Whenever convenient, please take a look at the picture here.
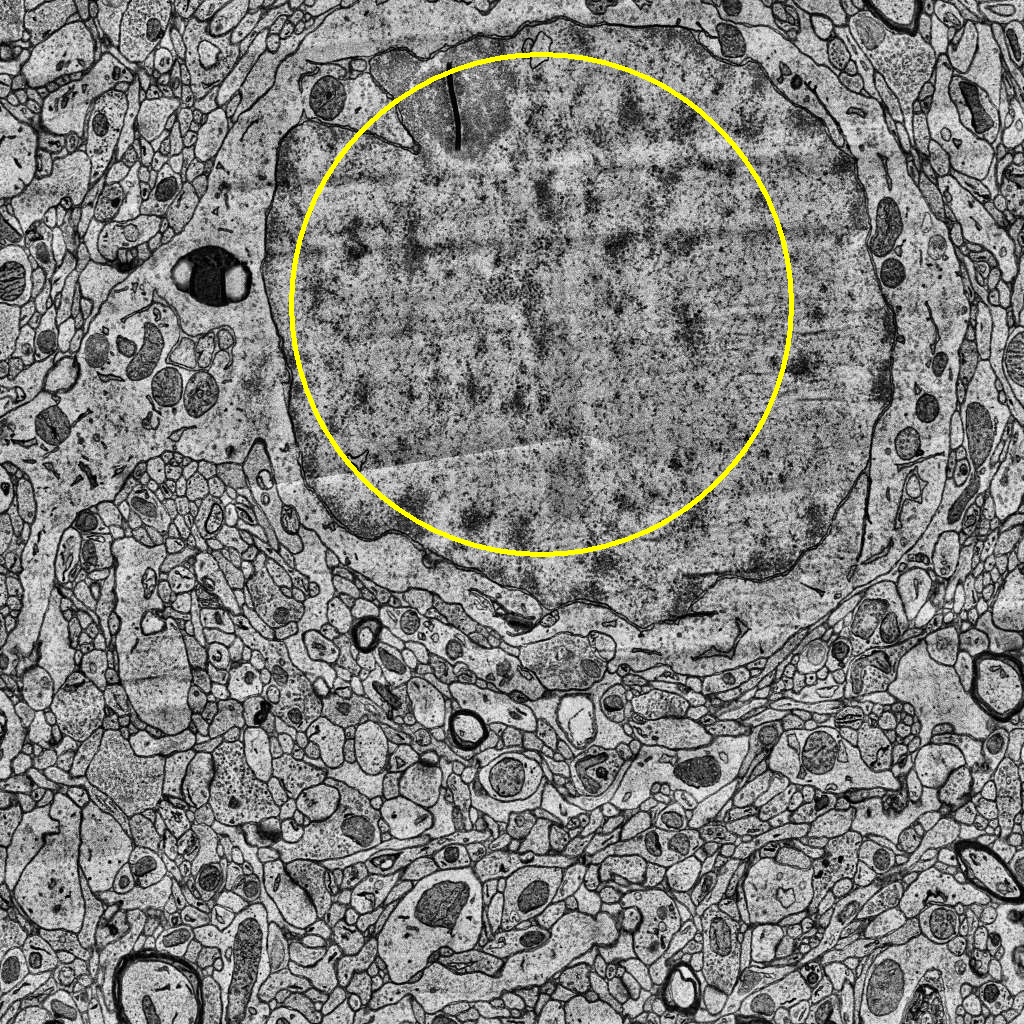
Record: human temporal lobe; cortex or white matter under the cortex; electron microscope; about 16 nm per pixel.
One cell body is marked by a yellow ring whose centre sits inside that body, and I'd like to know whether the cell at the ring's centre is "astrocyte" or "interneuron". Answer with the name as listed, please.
interneuron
